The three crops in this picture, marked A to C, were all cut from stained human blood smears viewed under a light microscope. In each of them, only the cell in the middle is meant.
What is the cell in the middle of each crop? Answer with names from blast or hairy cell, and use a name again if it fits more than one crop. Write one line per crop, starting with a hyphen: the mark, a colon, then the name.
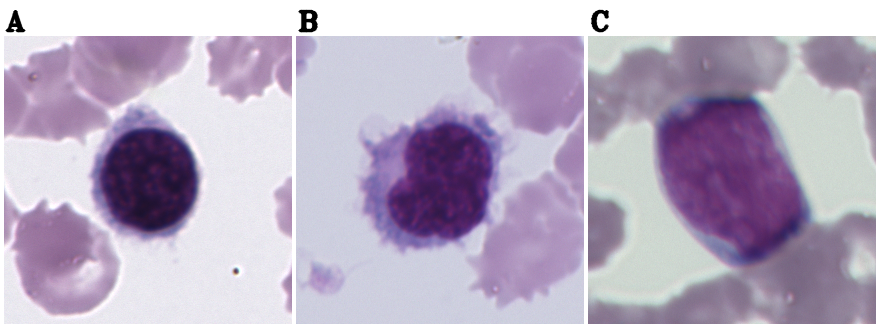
- A: hairy cell
- B: hairy cell
- C: blast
